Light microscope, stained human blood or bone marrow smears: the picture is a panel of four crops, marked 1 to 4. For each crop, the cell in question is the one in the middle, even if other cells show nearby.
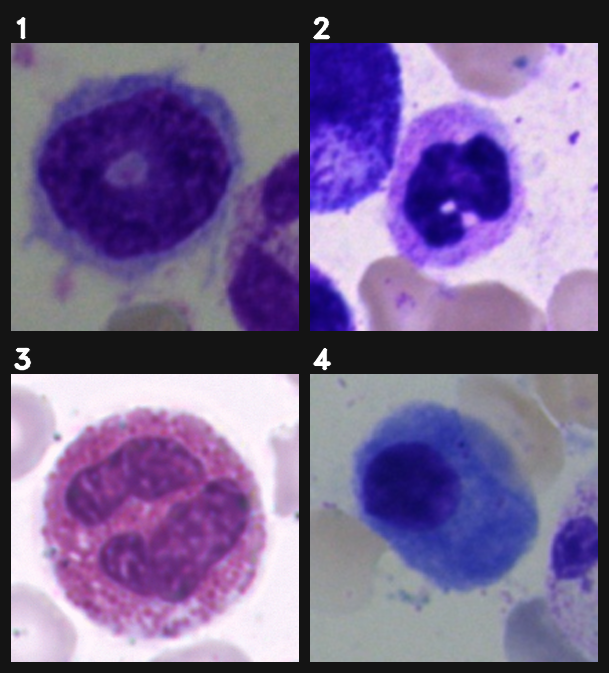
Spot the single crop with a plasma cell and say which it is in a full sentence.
Crop 4 is the one in this set that shows a plasma cell.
